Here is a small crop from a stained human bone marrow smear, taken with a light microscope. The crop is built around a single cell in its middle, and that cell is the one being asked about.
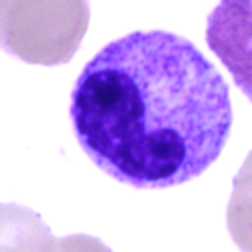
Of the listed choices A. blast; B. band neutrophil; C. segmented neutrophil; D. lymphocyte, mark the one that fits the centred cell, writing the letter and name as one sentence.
Option B is the keyed answer: the cell in the middle is a band neutrophil.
